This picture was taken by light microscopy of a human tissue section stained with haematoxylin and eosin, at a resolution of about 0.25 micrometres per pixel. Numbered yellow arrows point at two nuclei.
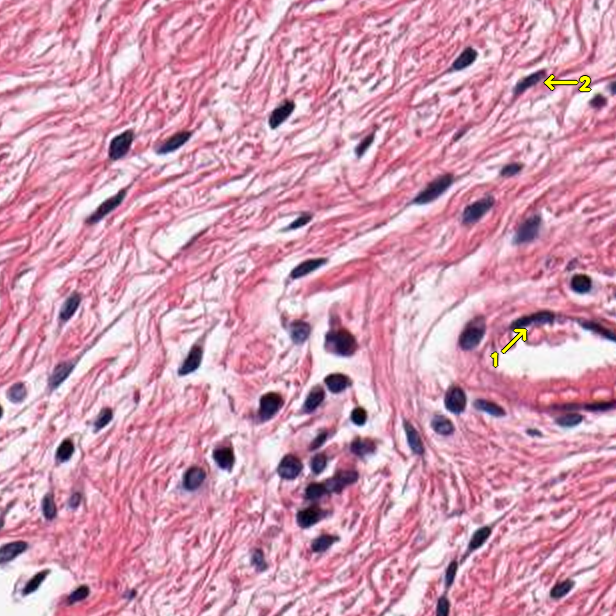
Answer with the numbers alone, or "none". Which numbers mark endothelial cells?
1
